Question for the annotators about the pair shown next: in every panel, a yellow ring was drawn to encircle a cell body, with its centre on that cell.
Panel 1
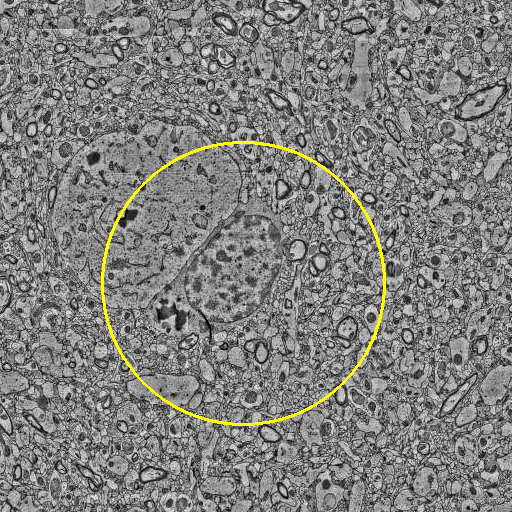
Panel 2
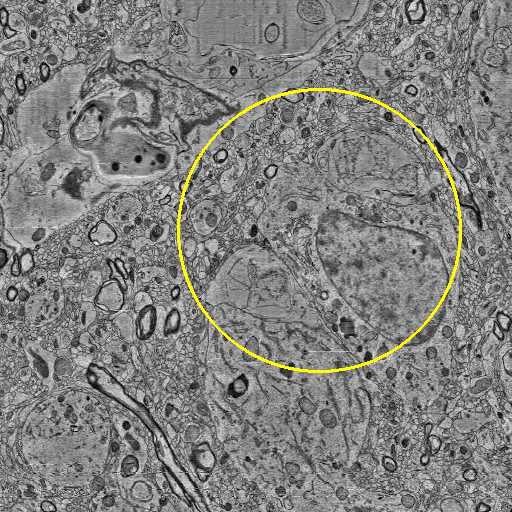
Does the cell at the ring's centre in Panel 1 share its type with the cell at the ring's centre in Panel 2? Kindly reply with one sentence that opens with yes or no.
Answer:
No, in Panels 1 and 2 the cells at the ring centres belong to separate types.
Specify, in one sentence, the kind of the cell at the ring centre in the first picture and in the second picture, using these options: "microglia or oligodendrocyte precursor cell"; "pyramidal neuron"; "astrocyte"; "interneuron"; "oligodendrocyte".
So the first is an oligodendrocyte, the second an interneuron.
